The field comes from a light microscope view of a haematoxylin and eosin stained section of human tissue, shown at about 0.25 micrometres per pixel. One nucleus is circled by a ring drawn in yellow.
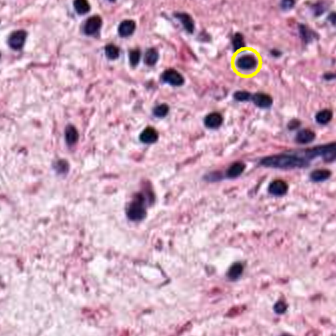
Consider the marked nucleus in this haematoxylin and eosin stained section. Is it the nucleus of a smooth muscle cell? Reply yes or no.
no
